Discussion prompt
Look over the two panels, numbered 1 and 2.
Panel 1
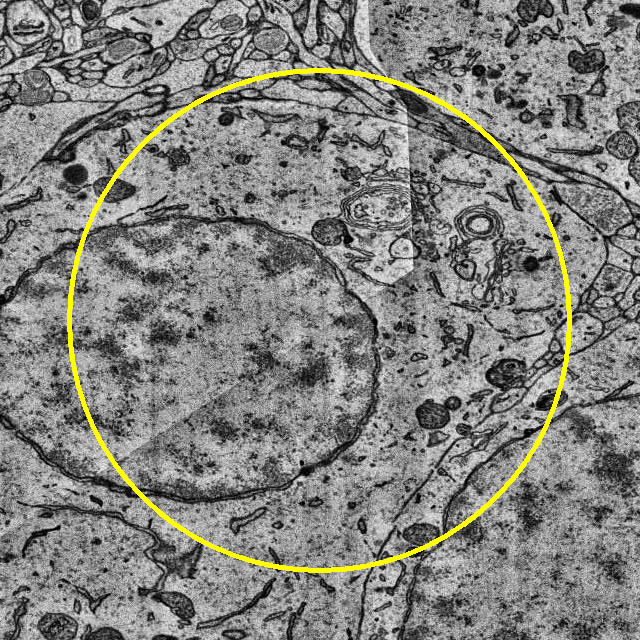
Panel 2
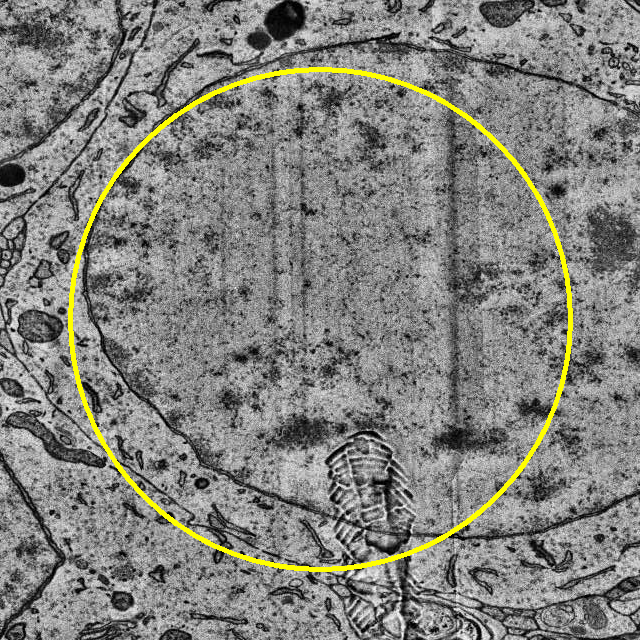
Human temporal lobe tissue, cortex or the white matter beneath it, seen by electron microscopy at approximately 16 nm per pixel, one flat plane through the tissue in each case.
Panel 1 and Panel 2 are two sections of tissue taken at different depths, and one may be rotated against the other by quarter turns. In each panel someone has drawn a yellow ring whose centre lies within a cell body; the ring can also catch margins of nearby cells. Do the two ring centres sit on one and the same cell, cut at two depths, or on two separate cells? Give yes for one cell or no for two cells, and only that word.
yes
